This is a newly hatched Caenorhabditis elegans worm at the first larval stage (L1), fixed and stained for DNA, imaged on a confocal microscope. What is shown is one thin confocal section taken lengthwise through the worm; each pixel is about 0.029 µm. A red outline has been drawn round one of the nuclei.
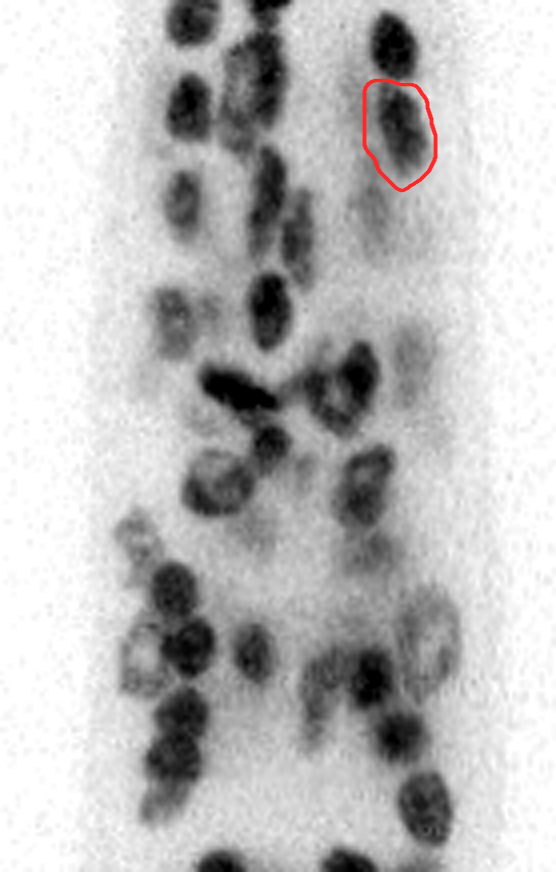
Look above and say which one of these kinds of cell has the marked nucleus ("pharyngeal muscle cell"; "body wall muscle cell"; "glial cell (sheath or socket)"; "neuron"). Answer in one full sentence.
The marked nucleus is that of a glial cell (sheath or socket).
